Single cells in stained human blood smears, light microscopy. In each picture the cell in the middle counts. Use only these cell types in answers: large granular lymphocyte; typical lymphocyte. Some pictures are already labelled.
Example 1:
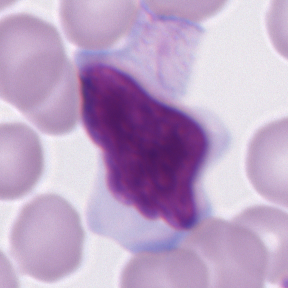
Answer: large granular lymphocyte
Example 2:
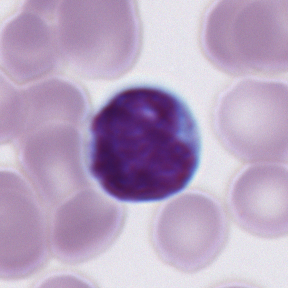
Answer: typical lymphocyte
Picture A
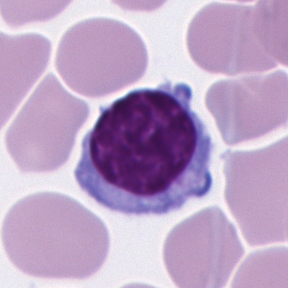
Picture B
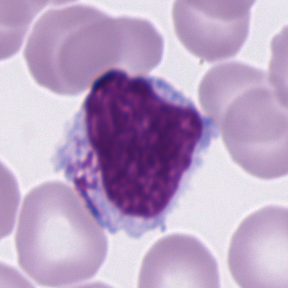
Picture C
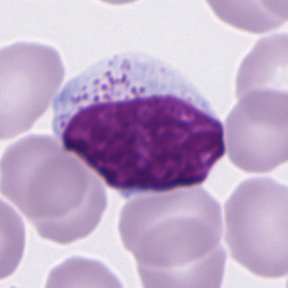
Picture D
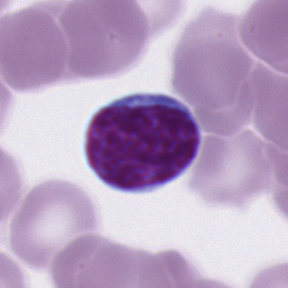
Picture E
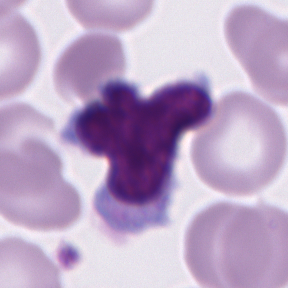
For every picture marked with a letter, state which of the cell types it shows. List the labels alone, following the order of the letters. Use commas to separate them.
typical lymphocyte, large granular lymphocyte, large granular lymphocyte, typical lymphocyte, typical lymphocyte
